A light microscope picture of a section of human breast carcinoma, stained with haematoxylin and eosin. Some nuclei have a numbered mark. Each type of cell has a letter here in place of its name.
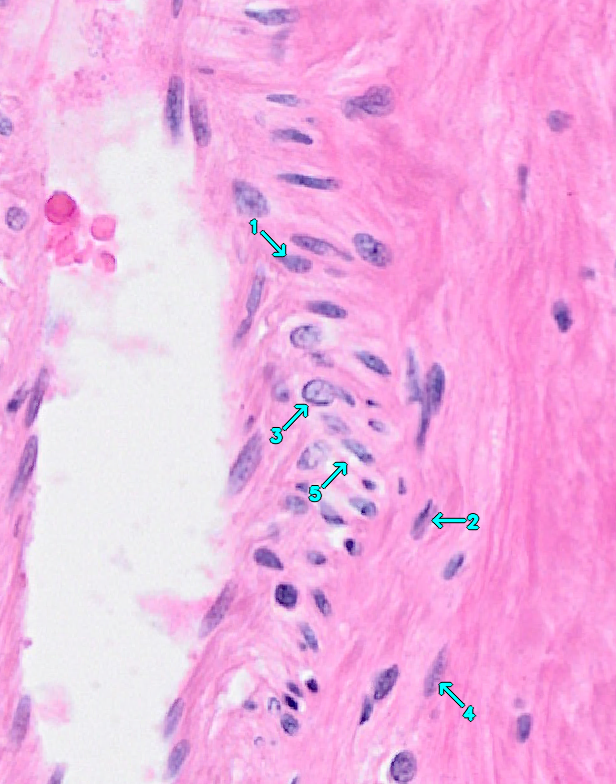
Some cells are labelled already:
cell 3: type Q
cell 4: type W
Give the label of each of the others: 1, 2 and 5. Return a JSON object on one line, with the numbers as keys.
{"1": "type Q", "2": "type W", "5": "type Q"}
